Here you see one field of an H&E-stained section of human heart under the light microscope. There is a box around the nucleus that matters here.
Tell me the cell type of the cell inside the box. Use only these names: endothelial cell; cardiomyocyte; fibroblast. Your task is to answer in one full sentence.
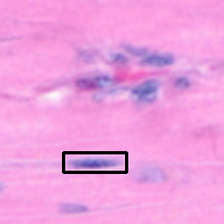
With respect to cell type, the cell inside the box is an endothelial cell.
